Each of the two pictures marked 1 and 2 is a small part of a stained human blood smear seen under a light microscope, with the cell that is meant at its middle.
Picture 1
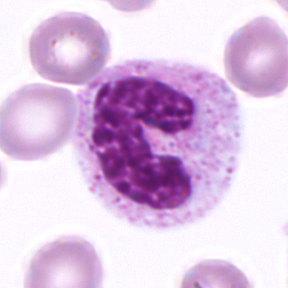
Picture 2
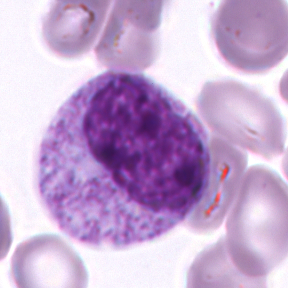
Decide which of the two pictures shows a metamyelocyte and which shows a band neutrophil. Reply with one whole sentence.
The cell in picture 1 is a band neutrophil, and the one in picture 2 is a metamyelocyte.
